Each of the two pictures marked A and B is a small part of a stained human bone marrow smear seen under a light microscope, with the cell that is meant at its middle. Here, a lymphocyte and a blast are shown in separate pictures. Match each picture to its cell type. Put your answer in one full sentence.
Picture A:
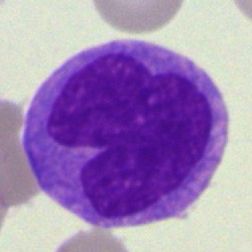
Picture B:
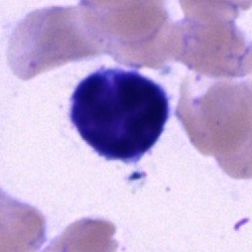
It is picture A that shows a blast, and picture B that shows a lymphocyte.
